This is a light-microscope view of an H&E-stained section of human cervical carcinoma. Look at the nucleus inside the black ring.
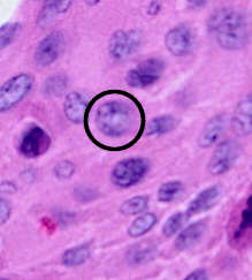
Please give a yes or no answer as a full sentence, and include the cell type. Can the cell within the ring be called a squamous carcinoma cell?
Yes, the cell within the ring has been identified as a squamous carcinoma cell.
